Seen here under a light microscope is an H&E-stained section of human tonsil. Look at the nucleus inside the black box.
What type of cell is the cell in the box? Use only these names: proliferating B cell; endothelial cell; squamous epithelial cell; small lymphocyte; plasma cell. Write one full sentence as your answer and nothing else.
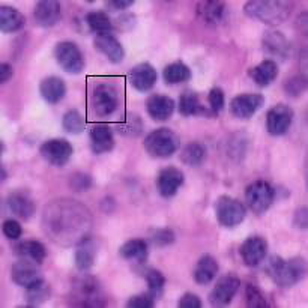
In cell-type terms, the cell in the box is a plasma cell.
